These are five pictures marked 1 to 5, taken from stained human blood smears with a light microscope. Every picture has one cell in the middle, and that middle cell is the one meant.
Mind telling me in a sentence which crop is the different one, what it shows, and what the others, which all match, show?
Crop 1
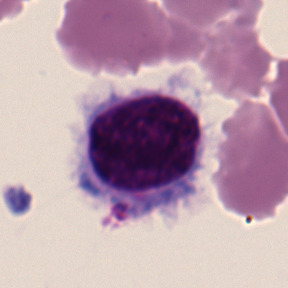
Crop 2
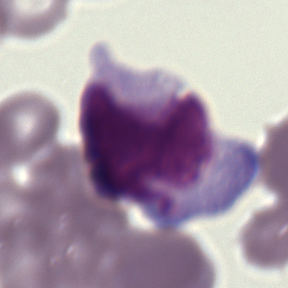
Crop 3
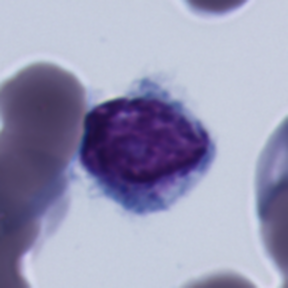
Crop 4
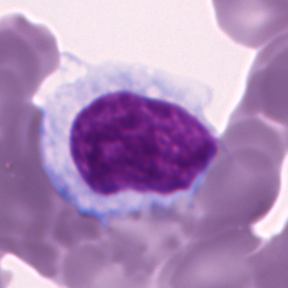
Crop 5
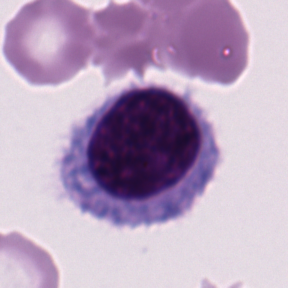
While crop 2 shows a myeloblast, the other crops all show hairy cells.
